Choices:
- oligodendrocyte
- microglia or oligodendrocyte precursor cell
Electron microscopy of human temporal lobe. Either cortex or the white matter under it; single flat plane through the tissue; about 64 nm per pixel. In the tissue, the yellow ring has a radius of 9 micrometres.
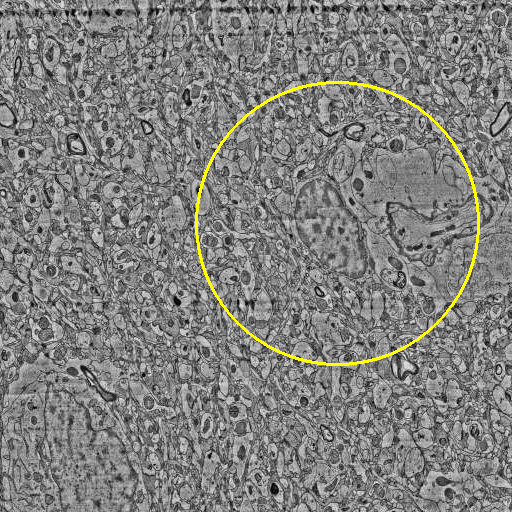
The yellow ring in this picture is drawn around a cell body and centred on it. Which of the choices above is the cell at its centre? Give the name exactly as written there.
oligodendrocyte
